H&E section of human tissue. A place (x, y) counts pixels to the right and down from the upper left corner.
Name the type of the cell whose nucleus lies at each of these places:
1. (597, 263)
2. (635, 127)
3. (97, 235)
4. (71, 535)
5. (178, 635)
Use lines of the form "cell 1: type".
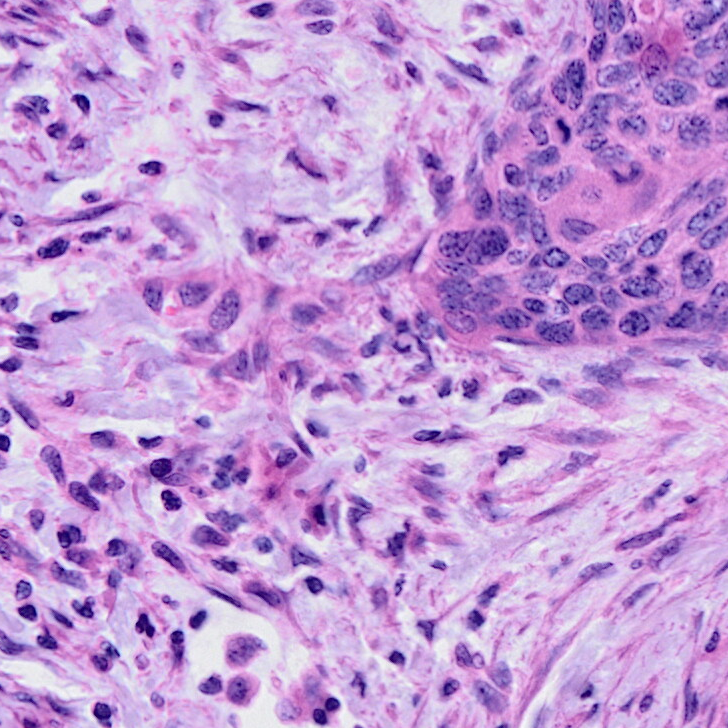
cell 1: squamous carcinoma cell
cell 2: squamous carcinoma cell
cell 3: lymphocyte
cell 4: lymphocyte
cell 5: lymphocyte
